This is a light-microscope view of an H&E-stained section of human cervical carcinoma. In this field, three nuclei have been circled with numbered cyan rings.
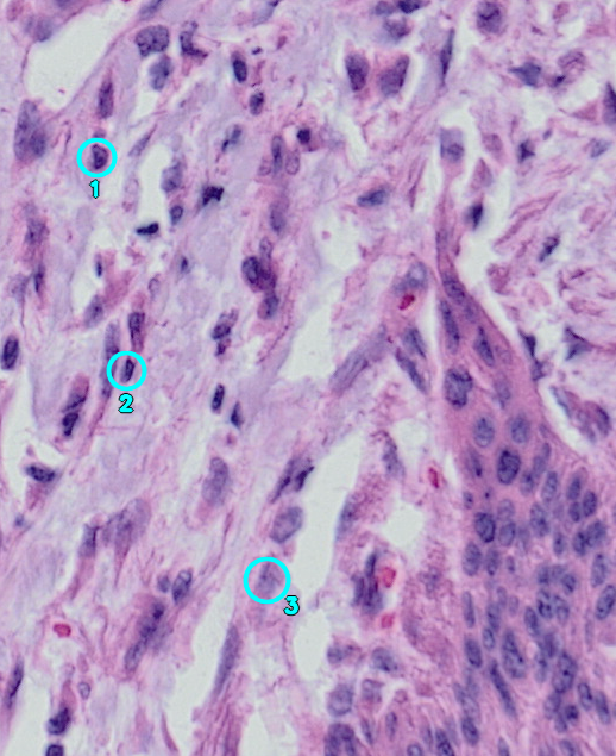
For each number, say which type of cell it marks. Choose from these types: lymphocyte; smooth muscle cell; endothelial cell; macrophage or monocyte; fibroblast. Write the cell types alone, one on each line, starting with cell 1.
lymphocyte
lymphocyte
fibroblast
